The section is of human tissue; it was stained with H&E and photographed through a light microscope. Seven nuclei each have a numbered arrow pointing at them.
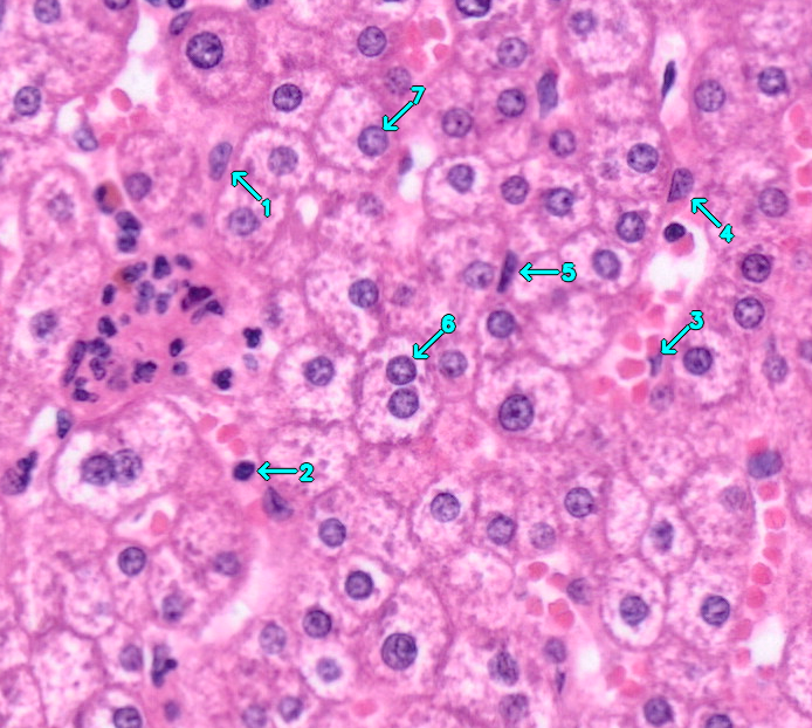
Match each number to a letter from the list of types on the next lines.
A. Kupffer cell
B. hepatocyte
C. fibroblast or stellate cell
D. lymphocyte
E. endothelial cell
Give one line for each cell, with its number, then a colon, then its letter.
1: A
2: D
3: E
4: E
5: C
6: B
7: B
